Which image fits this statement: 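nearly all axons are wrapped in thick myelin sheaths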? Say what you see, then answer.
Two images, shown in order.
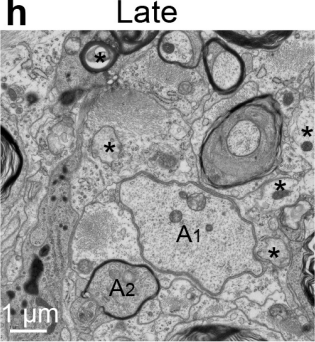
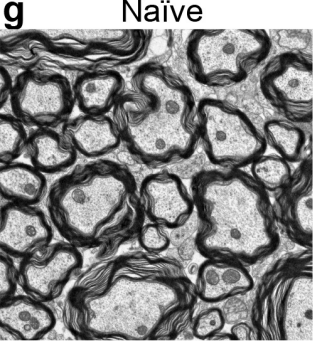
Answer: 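First image: large axons lie without dark sheaths, only a few profiles have sheaths. Second image: every axon profile is encircled by a thick dark multilayered sheath. So: the second image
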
